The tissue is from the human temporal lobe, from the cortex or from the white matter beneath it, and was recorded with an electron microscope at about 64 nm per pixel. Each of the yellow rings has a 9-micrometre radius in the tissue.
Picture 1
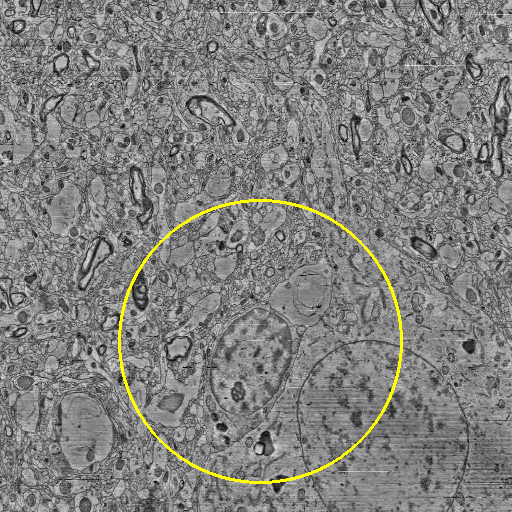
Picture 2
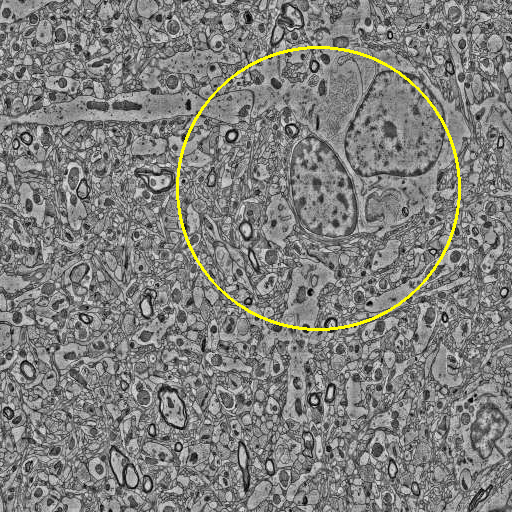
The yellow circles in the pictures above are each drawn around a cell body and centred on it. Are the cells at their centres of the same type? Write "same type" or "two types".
two types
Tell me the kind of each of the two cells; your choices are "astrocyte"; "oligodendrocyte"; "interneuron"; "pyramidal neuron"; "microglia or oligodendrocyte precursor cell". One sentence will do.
The ringed cell is an oligodendrocyte in the first picture and a microglial cell or oligodendrocyte precursor cell in the second picture.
